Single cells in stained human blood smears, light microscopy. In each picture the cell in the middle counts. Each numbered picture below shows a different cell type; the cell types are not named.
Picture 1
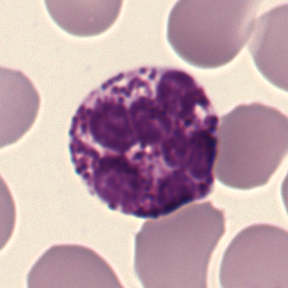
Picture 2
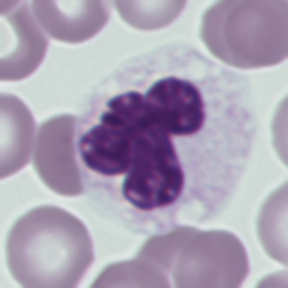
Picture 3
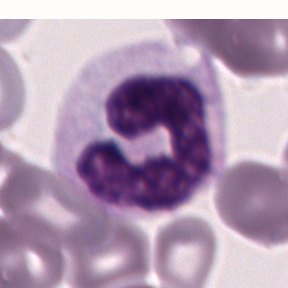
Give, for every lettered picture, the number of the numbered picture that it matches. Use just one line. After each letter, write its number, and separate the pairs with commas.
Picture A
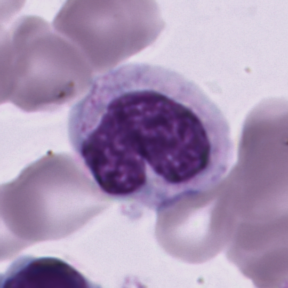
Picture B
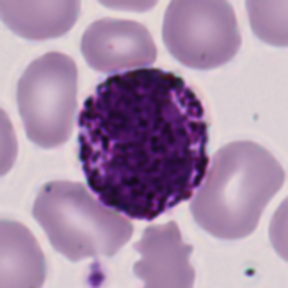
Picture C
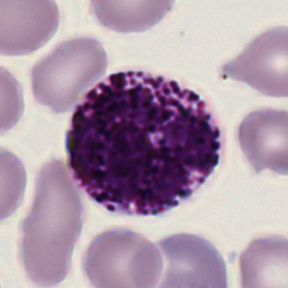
A 3, B 1, C 1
